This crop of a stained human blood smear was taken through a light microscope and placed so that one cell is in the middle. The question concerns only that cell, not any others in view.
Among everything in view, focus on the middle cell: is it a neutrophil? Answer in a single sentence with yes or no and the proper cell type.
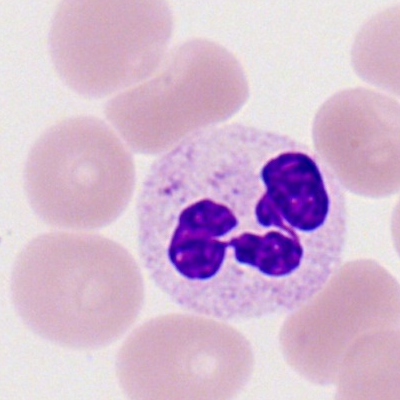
Yes, the cell of interest in the centre is a neutrophil.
